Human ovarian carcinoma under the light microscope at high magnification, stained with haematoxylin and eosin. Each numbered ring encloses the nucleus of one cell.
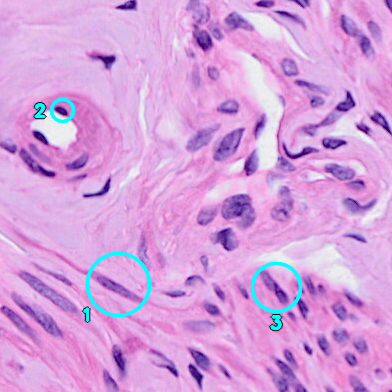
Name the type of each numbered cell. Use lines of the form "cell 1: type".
cell 1: smooth muscle cell
cell 2: endothelial cell
cell 3: smooth muscle cell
